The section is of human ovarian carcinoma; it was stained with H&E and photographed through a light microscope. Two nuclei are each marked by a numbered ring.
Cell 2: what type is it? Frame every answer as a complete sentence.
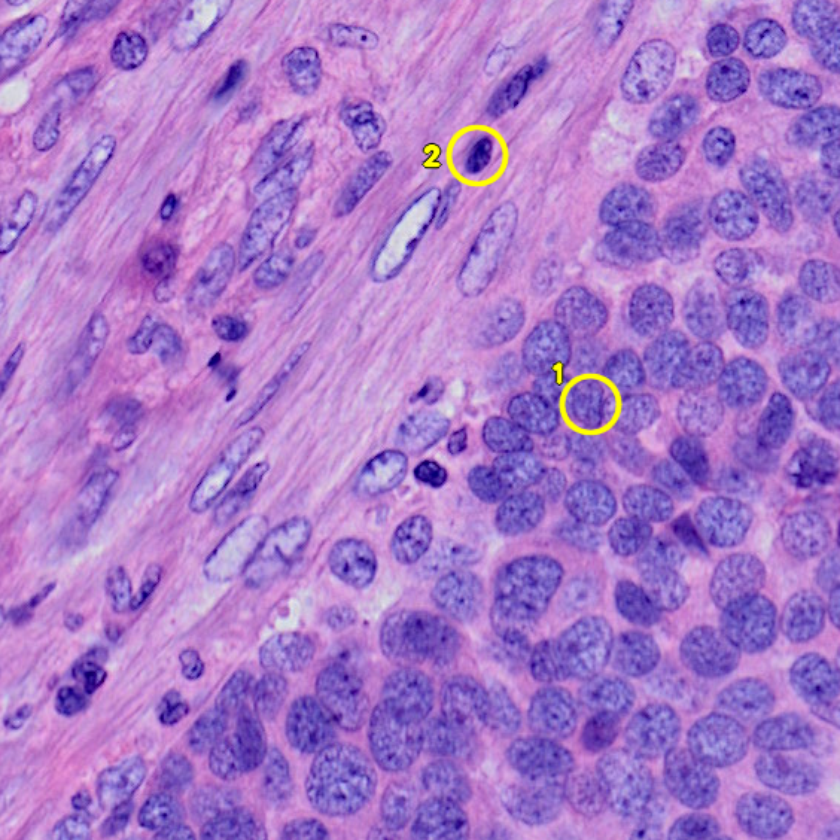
The cell indicated by marker 2 is a lymphocyte in this section.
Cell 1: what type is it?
At number 1, the marked cell is a carcinoma cell.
